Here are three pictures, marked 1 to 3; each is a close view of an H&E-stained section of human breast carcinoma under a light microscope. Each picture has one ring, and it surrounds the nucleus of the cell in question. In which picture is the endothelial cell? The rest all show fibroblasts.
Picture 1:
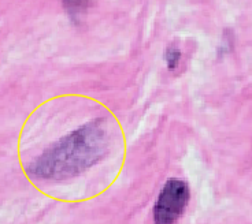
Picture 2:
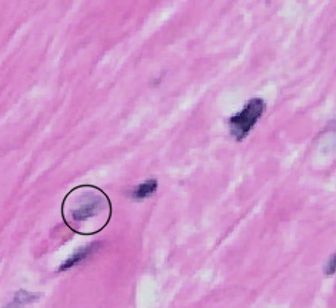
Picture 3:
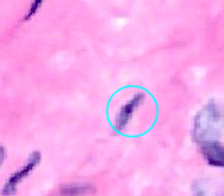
2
